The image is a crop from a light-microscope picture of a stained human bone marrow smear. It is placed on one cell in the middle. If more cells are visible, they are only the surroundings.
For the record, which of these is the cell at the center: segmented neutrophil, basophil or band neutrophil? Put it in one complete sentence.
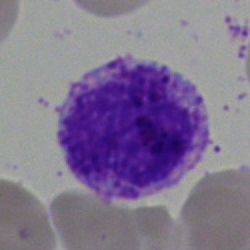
The cell at the centre of the field is a basophil.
